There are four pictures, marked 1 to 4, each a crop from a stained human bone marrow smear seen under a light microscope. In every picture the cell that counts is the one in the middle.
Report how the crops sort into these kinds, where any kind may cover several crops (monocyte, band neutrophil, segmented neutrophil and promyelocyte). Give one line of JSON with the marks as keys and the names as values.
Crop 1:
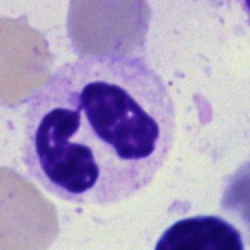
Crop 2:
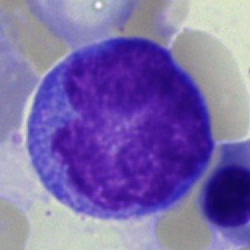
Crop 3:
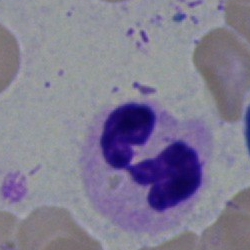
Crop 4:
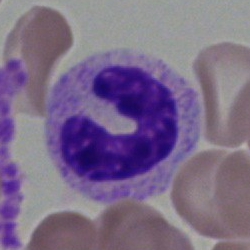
{"1": "segmented neutrophil", "2": "monocyte", "3": "segmented neutrophil", "4": "band neutrophil"}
